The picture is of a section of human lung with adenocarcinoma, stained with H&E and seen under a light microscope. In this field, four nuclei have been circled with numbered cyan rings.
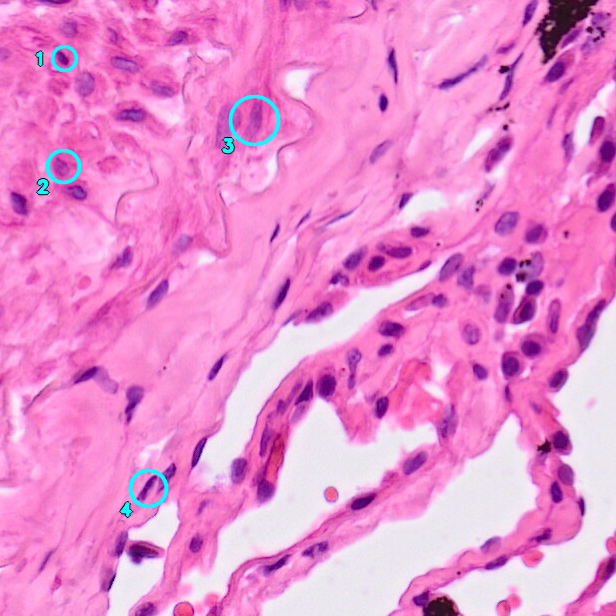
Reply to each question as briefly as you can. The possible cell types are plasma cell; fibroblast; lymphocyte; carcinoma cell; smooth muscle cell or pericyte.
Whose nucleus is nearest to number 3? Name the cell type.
smooth muscle cell or pericyte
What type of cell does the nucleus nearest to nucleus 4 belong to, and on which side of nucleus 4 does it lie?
a fibroblast; above and to the right of nucleus 4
